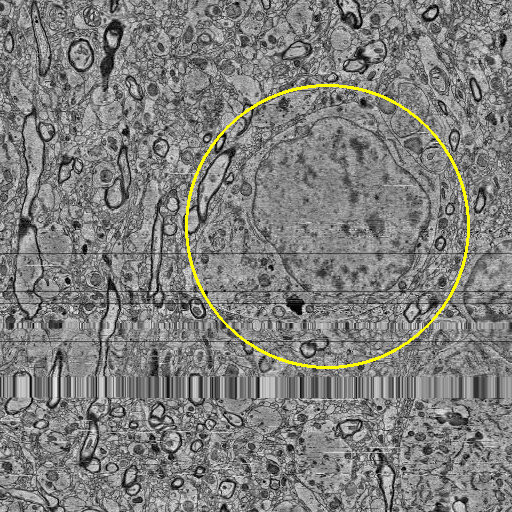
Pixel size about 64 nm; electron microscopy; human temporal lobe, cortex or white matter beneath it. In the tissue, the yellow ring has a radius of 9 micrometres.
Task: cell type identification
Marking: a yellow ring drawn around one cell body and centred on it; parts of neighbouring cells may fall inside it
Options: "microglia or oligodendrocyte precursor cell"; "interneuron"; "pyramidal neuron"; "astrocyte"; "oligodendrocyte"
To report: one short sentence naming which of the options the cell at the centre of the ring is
The cell at the centre of the ring is an interneuron.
